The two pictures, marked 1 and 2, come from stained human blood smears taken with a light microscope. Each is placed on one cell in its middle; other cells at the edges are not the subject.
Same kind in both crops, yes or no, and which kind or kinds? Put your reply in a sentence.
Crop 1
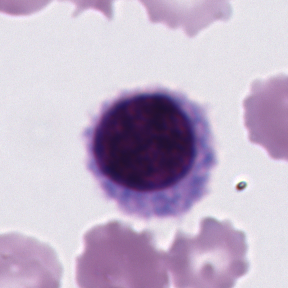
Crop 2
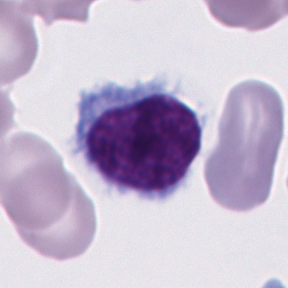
Yes, both crops show hairy cells in the middle.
